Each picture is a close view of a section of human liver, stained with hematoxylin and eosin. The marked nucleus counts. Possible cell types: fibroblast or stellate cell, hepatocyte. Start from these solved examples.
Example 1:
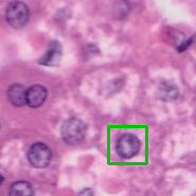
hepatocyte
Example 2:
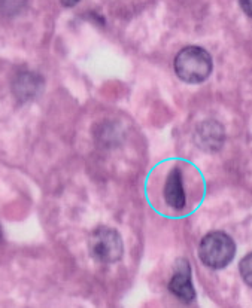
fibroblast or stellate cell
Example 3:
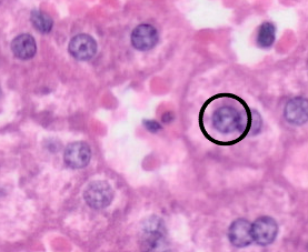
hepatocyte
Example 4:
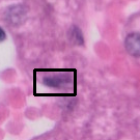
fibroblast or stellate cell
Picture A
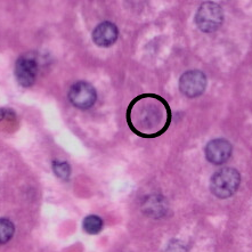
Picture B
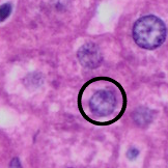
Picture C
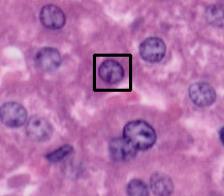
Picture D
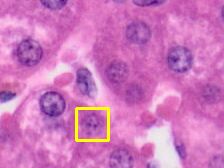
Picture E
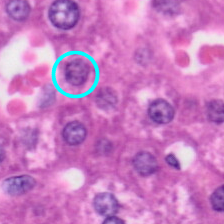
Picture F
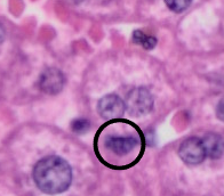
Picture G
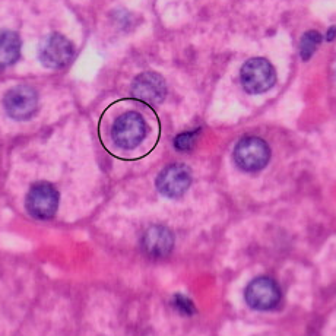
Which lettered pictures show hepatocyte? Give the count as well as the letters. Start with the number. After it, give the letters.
Count: 6 (A, B, C, D, E, G)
